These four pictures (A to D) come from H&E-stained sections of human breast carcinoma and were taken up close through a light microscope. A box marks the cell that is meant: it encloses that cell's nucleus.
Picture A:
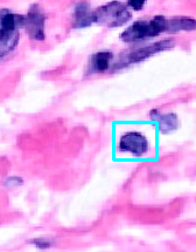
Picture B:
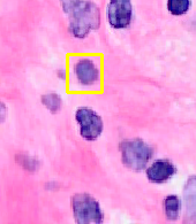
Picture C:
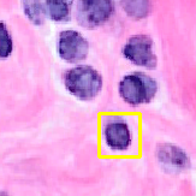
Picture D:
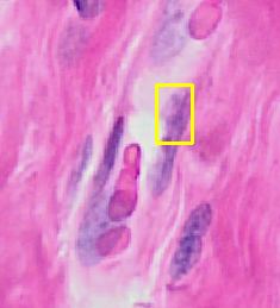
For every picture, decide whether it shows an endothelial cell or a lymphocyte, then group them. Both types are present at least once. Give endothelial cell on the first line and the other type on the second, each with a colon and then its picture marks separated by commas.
endothelial cell: D
lymphocyte: A, B, C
